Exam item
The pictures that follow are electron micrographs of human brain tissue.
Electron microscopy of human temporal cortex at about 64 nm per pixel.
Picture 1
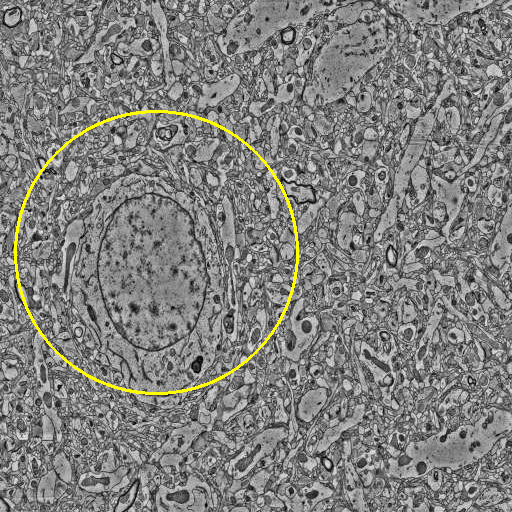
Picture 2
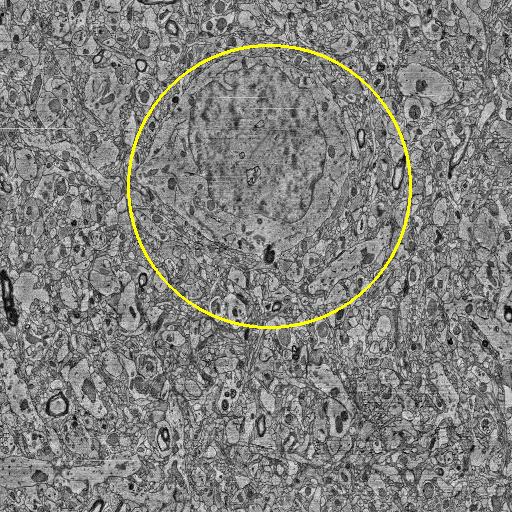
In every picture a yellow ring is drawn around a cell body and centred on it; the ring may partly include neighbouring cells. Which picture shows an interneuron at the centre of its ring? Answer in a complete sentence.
The cell at the centre of the ring in Picture 2 is the one asked for.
